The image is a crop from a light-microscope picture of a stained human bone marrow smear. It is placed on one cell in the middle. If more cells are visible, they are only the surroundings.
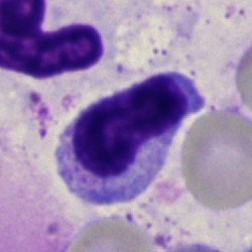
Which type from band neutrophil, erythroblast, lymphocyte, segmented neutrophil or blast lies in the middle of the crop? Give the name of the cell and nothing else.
band neutrophil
